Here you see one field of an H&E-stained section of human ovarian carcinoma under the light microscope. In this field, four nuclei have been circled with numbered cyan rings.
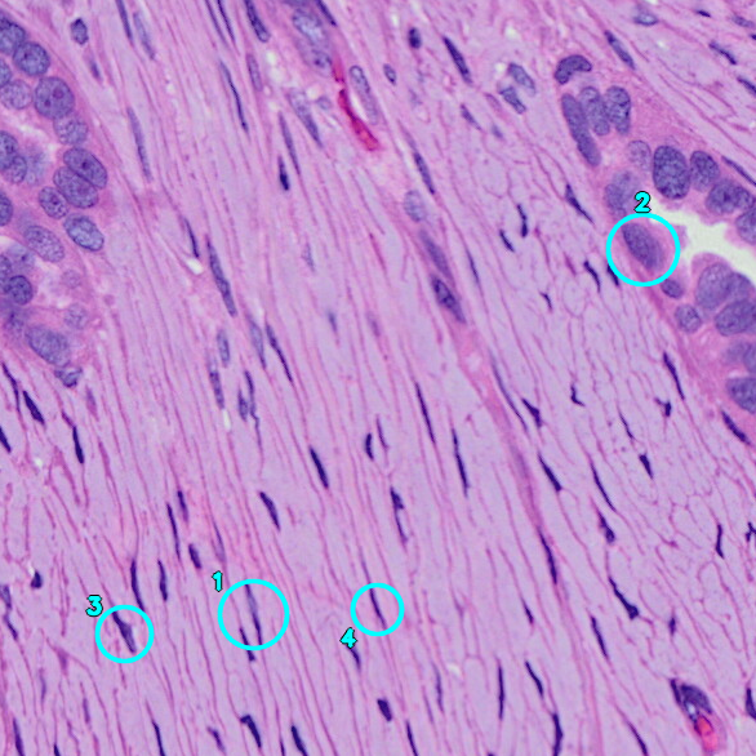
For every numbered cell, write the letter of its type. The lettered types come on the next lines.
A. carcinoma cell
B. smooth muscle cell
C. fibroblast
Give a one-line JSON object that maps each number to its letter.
{"1": "C", "2": "A", "3": "C", "4": "C"}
